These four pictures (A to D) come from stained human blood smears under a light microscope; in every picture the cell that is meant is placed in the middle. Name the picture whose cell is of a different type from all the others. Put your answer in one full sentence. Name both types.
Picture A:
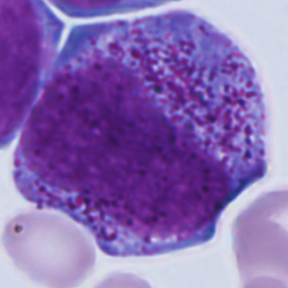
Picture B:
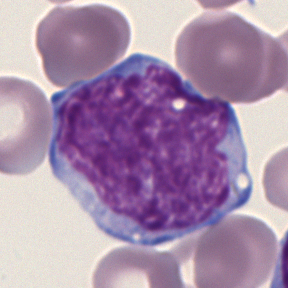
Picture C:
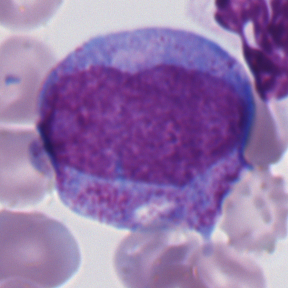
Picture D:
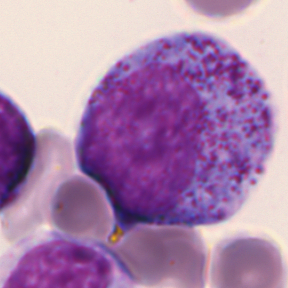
Picture B differs, because its cell is a myeloblast and the rest are promyelocytes.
